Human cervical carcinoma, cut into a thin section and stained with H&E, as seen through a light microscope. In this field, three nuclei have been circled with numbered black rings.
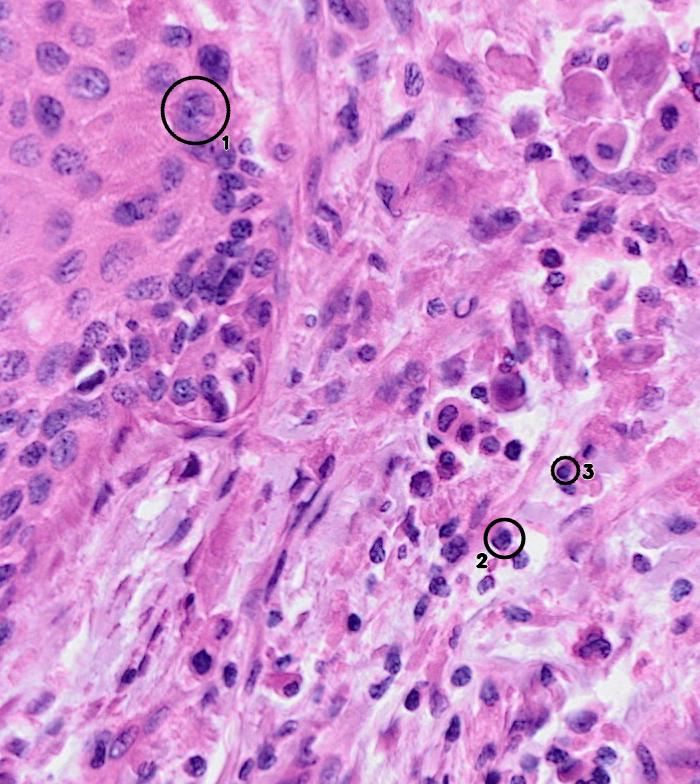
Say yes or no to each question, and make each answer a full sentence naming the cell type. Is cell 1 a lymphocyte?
No, not a lymphocyte: the cell with number 1 is a squamous carcinoma cell.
